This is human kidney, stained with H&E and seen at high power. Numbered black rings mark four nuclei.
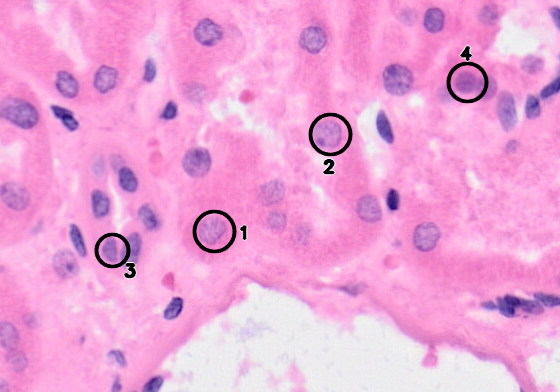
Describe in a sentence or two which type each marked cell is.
Cell 1 is a proximal tubule cell, cell 2 is a proximal tubule cell, cell 3 is a collecting duct cell and cell 4 is a proximal tubule cell.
